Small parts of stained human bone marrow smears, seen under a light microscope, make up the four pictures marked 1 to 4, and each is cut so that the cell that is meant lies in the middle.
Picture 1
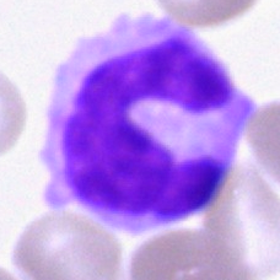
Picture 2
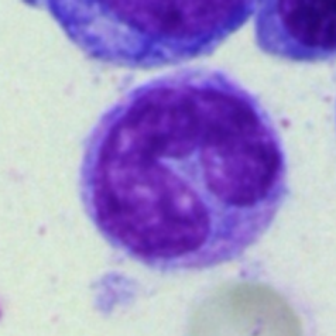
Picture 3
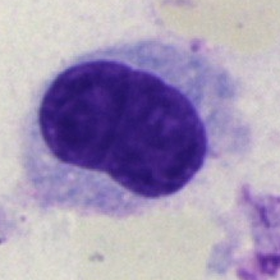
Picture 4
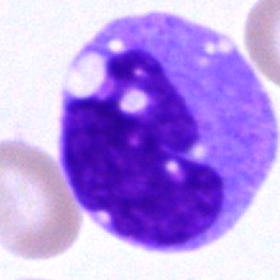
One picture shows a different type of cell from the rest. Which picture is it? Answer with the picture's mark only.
3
